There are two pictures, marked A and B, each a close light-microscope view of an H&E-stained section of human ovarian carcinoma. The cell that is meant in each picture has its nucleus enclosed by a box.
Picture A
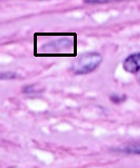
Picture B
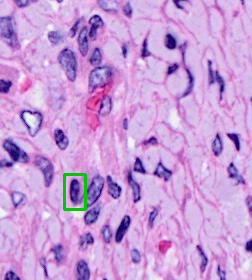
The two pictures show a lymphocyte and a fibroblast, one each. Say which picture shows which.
A: fibroblast
B: lymphocyte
